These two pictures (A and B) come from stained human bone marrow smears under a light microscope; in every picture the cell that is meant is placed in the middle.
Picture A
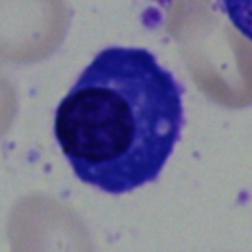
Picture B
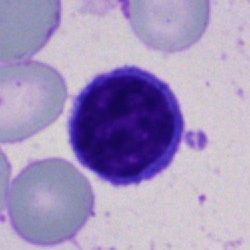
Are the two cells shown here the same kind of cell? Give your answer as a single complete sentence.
No, the types are not the same, since picture A shows a plasma cell and picture B a lymphocyte.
